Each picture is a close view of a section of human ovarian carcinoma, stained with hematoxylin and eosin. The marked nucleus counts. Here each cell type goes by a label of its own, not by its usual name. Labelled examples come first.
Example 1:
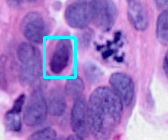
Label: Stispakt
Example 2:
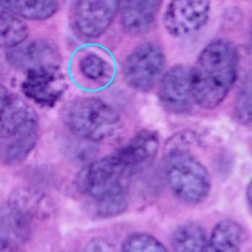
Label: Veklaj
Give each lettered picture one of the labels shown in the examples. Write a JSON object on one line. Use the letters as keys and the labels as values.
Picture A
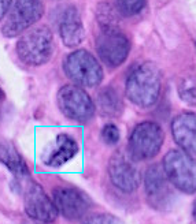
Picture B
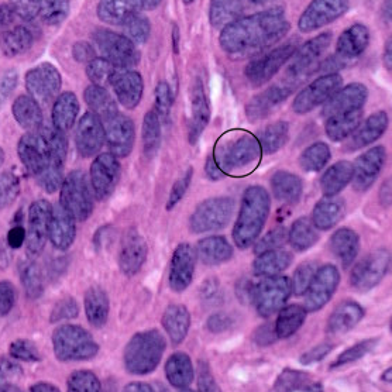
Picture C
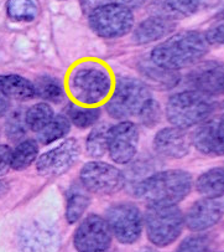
{"A": "Veklaj", "B": "Stispakt", "C": "Stispakt"}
